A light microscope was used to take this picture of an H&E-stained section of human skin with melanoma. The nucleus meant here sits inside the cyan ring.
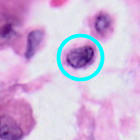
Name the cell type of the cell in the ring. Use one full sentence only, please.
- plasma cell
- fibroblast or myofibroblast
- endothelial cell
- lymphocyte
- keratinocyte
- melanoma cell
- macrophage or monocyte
Within this tissue, the cell in the ring is a macrophage or monocyte.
